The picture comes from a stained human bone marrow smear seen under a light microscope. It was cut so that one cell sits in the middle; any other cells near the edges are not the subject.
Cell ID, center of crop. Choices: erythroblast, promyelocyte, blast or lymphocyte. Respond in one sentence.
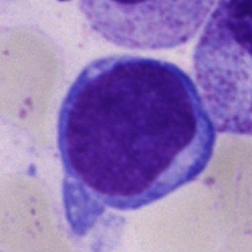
This crop is built around a blast at its centre.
